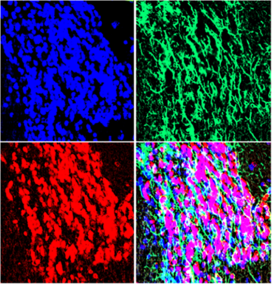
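The blue nuclei are small, rounded and packed closely together. The red label fills many of these small elongated and rounded cell bodies in a stream-like cluster. Green thin, branching fibrous processes weave between them as a meshwork.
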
